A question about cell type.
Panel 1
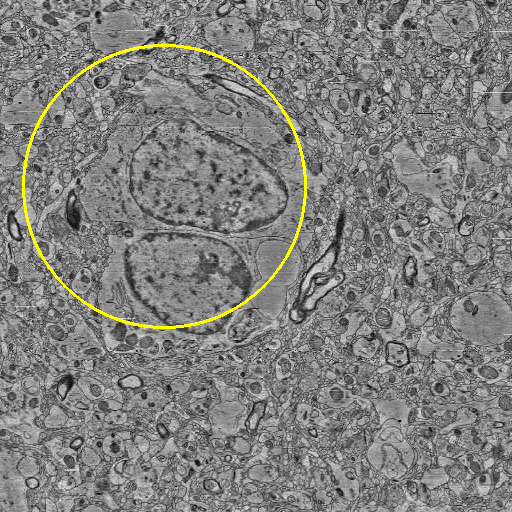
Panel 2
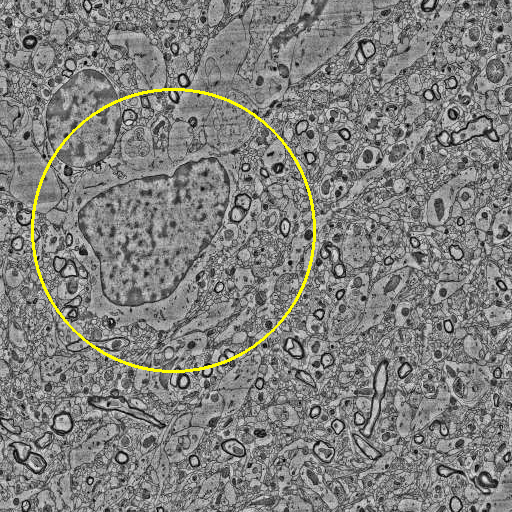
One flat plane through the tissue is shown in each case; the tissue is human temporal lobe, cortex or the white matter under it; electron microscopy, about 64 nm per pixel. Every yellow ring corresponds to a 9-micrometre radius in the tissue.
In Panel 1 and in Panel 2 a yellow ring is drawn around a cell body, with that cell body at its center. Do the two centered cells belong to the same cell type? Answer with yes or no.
yes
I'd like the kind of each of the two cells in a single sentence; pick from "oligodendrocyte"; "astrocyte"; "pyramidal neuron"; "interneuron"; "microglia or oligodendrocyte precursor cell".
Each one of the two ringed cells is a microglial cell or oligodendrocyte precursor cell.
